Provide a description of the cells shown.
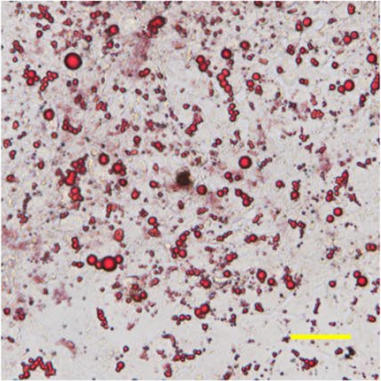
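A dense brightfield field of cells whose outlines are hard to make out, crowded with red-stained round droplets of many sizes scattered over the whole area, some large and glossy, many small and clustered in chains and groups. Faint pinkish staining also lies diffusely between the droplets, and a few dark brown specks are present. Individual cell borders are less distinct than in a sparse culture.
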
